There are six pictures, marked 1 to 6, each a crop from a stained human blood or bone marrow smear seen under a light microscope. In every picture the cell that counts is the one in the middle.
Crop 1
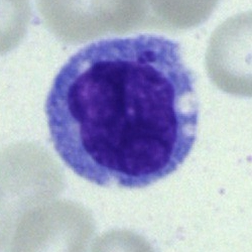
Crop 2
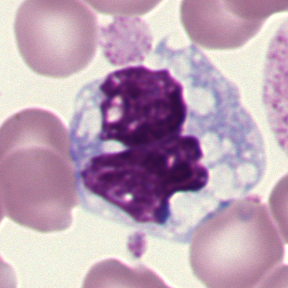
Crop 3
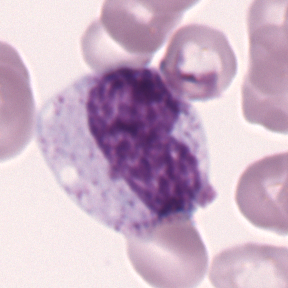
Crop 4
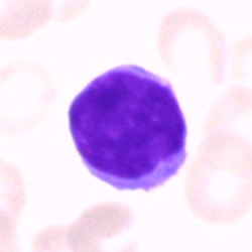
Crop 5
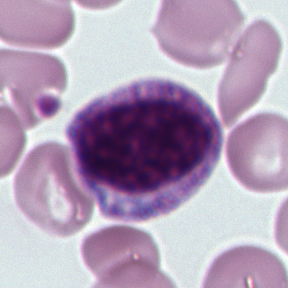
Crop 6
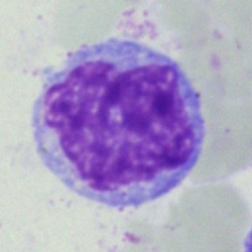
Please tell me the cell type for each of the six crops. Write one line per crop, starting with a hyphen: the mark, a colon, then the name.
- 1: monocyte
- 2: monocyte
- 3: metamyelocyte
- 4: lymphocyte
- 5: metamyelocyte
- 6: monocyte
